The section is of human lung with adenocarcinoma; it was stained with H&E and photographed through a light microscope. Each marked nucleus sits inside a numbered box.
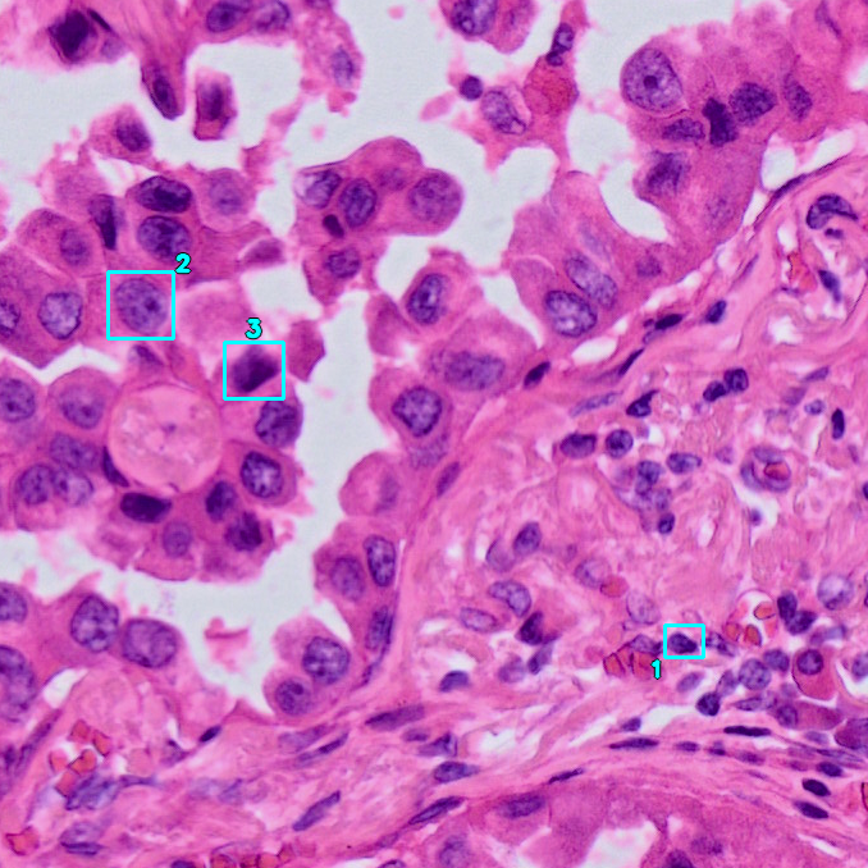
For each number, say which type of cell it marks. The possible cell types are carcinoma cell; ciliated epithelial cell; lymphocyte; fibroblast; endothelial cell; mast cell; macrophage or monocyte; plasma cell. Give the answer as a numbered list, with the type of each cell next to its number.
1. lymphocyte
2. carcinoma cell
3. carcinoma cell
